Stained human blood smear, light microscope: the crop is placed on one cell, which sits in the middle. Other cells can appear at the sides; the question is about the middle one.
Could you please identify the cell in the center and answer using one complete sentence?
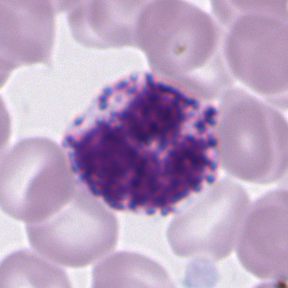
In the middle of this smear crop, the cell is a basophil.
